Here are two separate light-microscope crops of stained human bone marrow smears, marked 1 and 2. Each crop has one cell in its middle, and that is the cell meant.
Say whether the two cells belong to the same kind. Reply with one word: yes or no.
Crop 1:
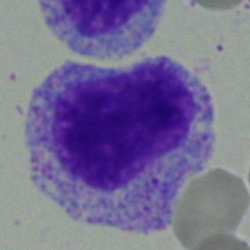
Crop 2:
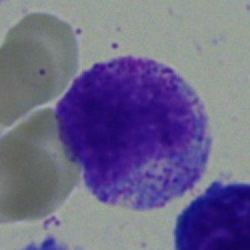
yes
